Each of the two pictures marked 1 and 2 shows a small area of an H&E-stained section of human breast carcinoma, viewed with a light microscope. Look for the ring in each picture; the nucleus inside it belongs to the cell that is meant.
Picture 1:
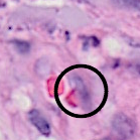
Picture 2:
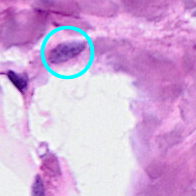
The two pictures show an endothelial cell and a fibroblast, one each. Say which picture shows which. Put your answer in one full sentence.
In picture 1 the cell is an endothelial cell; in picture 2, a fibroblast.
